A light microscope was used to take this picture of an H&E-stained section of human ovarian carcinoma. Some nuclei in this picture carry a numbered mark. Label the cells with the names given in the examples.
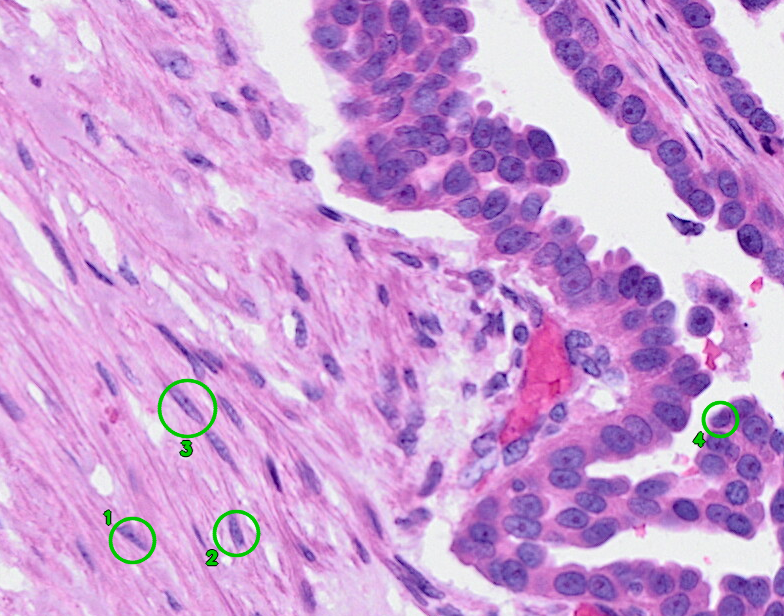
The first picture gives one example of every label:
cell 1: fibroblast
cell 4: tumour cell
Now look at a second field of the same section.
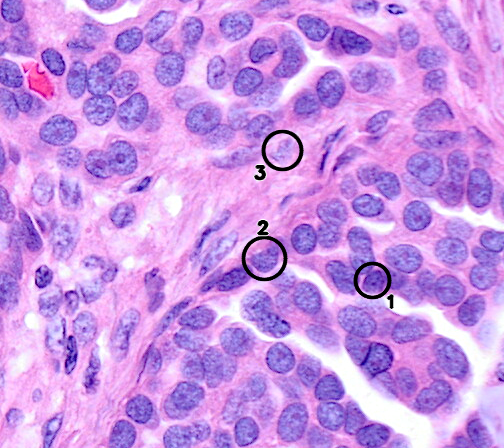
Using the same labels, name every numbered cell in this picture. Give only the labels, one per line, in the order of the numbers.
tumour cell
tumour cell
fibroblast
